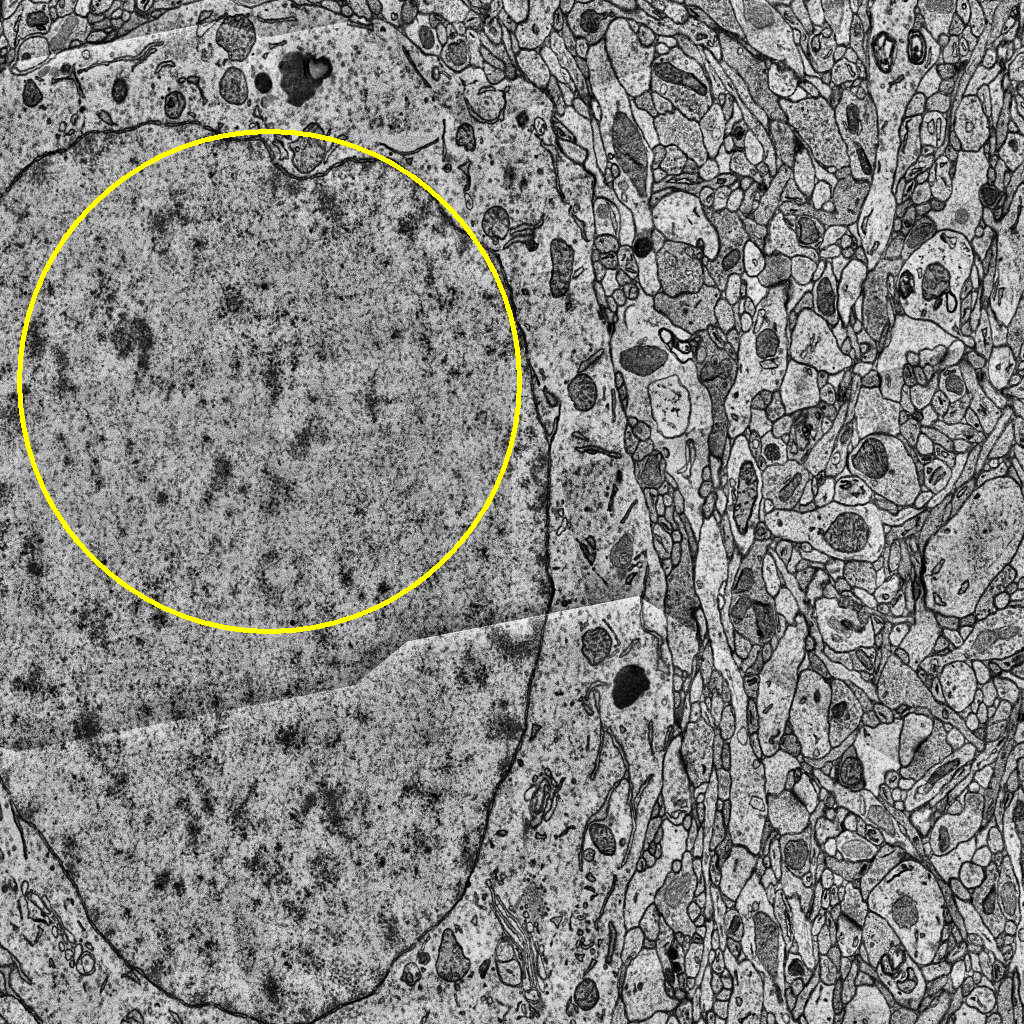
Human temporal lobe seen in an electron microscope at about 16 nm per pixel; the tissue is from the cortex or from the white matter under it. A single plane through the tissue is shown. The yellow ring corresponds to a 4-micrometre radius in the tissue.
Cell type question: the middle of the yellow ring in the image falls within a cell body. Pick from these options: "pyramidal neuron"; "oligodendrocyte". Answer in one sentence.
The cell body at the center of the ring belongs to a pyramidal neuron.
